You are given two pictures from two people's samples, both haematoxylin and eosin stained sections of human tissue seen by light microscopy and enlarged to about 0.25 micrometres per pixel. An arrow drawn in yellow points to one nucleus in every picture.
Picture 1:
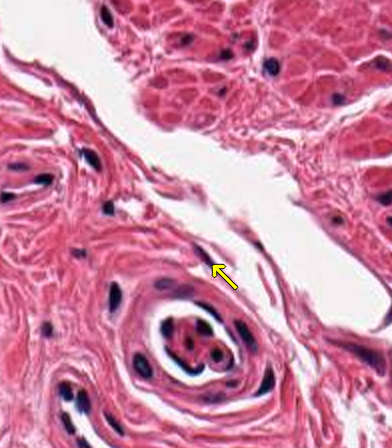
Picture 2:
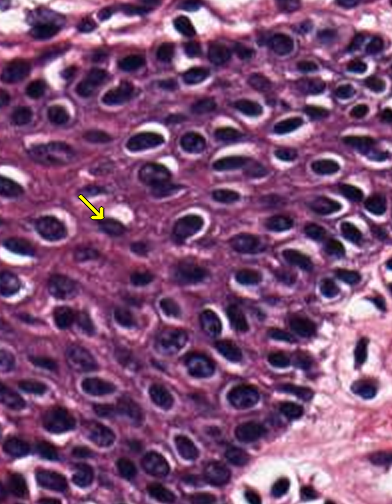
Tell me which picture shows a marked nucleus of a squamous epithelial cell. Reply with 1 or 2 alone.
2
